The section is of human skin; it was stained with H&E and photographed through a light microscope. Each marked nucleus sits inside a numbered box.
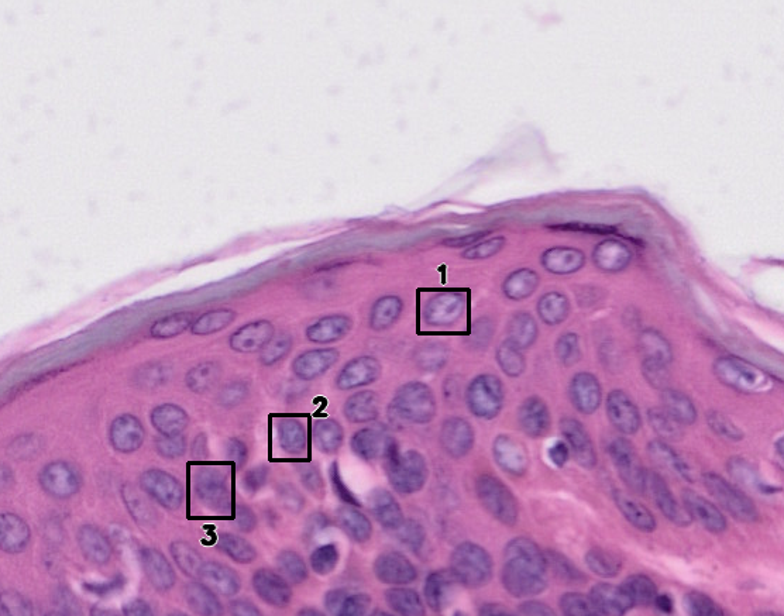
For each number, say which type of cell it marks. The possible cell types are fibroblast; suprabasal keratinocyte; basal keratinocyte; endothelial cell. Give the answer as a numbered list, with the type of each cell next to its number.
1. suprabasal keratinocyte
2. basal keratinocyte
3. basal keratinocyte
